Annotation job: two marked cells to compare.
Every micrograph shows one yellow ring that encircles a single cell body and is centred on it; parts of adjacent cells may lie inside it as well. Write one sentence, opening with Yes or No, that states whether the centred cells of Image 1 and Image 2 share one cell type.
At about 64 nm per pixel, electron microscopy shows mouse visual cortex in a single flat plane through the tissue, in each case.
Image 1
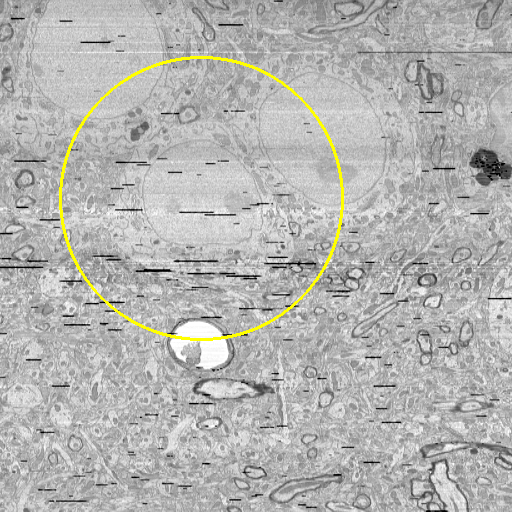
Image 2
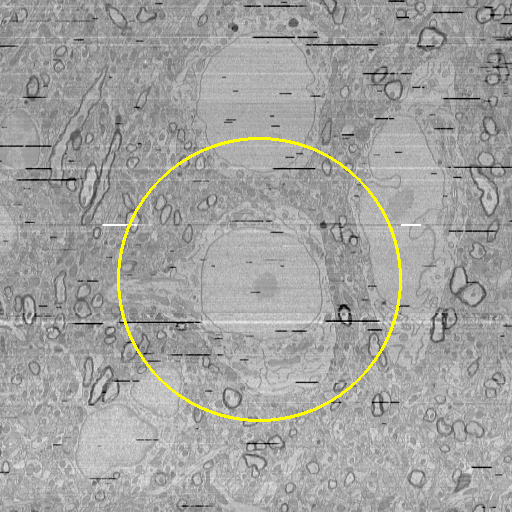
Yes, the cell centred in Image 1 shares its type with the cell centred in Image 2.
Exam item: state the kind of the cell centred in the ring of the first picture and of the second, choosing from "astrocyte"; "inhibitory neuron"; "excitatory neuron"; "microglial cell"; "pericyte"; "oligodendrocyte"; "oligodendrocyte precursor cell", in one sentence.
Both cells are the same kind, each one being an excitatory neuron.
